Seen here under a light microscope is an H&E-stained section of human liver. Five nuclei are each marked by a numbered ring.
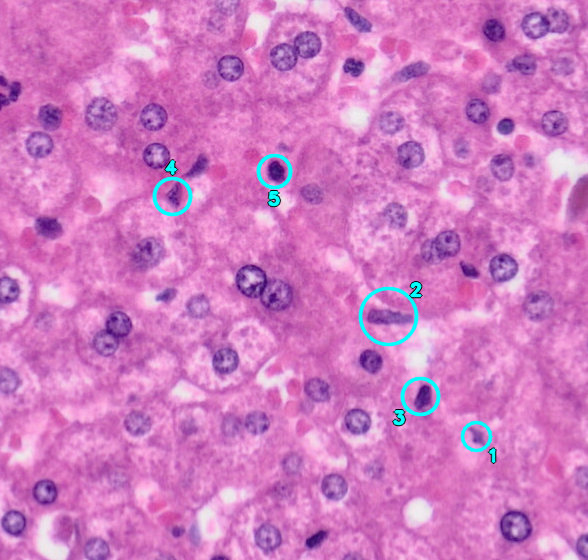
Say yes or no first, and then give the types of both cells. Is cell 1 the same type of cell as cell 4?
Yes, both are endothelial cells.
